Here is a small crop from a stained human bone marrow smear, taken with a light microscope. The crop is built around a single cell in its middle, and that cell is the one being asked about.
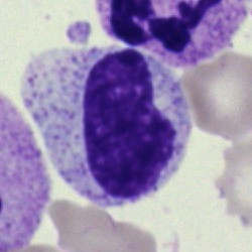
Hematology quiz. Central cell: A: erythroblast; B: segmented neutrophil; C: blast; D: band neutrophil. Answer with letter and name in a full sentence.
Seen at the centre of the crop is a band neutrophil, so option D is correct.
